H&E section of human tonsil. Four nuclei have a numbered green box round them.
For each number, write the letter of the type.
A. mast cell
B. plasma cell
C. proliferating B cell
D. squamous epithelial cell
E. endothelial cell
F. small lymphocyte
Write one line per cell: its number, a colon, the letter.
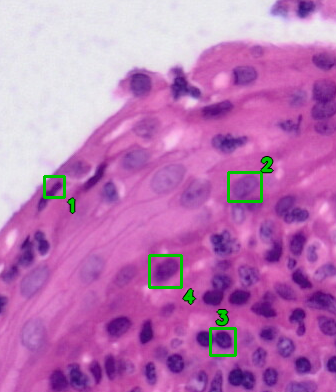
1: D
2: D
3: B
4: D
